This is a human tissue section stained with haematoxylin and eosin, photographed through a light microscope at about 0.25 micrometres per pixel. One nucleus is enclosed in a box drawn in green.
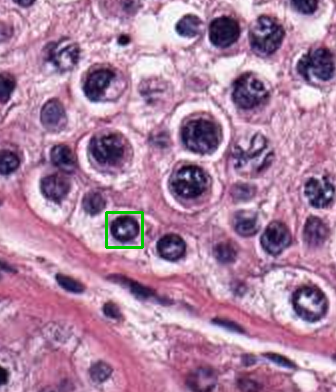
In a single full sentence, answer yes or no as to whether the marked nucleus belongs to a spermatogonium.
Yes, what is marked here is the nucleus of a spermatogonium.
